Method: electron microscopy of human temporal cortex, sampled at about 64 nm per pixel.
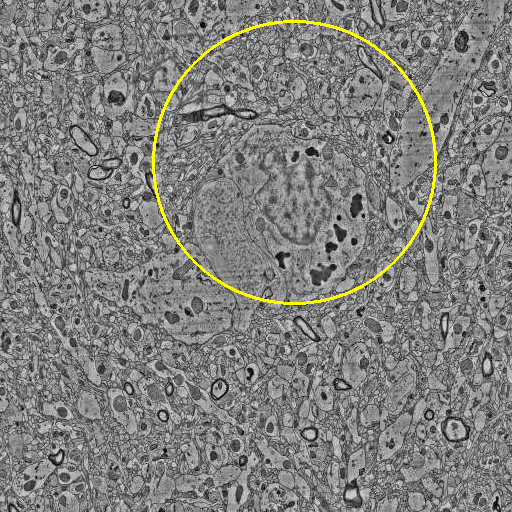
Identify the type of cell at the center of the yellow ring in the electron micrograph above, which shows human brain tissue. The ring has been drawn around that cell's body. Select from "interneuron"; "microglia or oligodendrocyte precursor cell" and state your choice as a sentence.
The yellow ring is centered on the body of an interneuron.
